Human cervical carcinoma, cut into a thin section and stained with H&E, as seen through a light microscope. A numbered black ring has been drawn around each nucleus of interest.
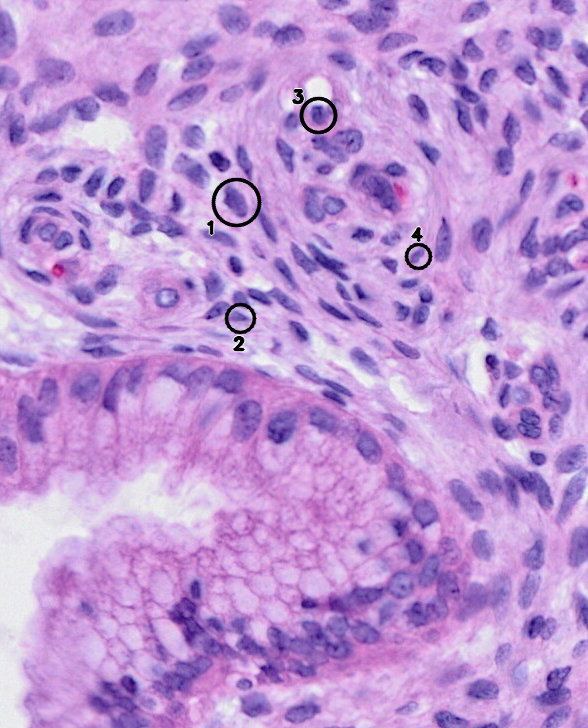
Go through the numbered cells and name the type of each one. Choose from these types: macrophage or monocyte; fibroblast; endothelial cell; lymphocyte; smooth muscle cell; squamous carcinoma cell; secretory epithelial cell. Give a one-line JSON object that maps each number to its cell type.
{"1": "fibroblast", "2": "fibroblast", "3": "endothelial cell", "4": "fibroblast"}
